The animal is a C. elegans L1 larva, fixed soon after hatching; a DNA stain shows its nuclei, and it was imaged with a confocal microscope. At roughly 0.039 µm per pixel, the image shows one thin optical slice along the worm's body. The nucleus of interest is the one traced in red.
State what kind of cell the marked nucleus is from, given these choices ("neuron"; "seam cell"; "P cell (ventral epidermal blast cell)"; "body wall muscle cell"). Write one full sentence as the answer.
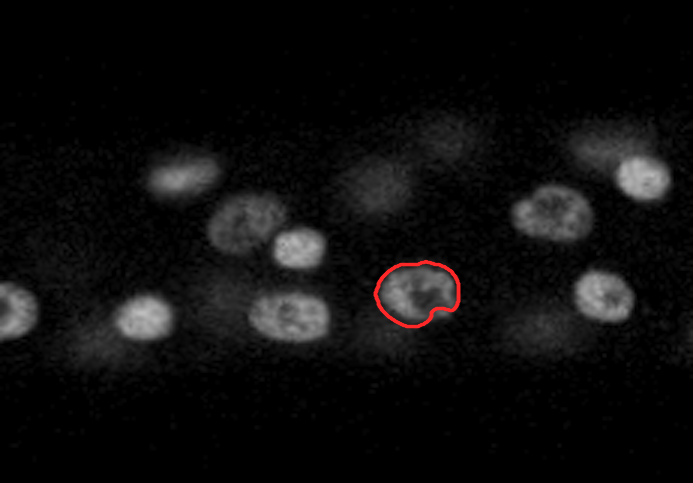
It belongs to a seam cell.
